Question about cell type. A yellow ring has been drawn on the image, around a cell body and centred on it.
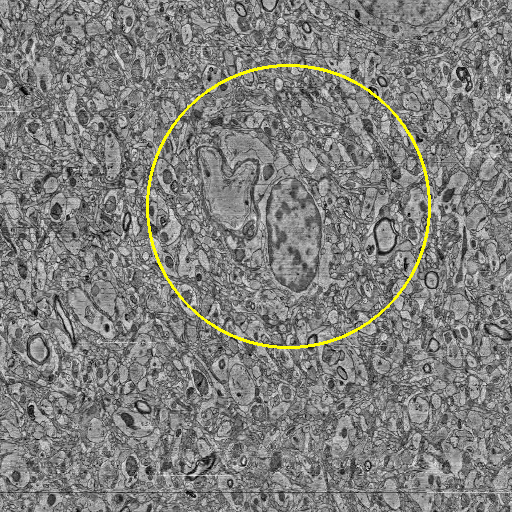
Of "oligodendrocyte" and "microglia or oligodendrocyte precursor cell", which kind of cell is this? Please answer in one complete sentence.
At the centre of the ring lies a microglial cell or oligodendrocyte precursor cell.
